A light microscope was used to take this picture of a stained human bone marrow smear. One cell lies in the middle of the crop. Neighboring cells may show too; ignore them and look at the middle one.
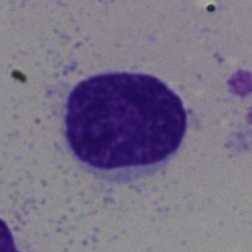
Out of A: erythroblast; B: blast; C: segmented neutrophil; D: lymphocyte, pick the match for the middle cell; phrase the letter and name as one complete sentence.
Here the central cell is a lymphocyte, and option D is correct.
